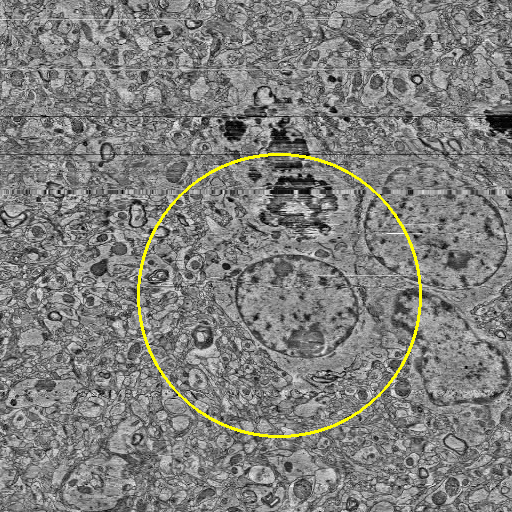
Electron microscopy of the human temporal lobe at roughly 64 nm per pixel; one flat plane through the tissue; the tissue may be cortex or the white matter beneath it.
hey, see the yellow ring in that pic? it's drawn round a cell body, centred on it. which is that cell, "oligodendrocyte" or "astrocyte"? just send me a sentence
The cell in the ring is an astrocyte.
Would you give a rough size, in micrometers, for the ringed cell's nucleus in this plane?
The nucleus has a long axis of about 8 micrometres and a short axis of about 7 micrometres in this plane.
